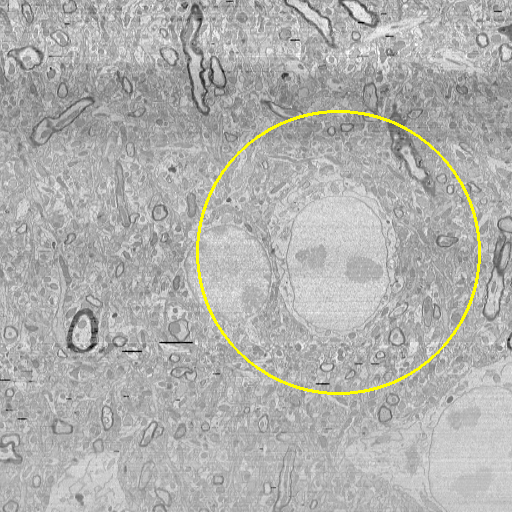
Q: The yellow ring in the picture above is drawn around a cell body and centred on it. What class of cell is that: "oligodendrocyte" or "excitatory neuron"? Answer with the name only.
excitatory neuron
